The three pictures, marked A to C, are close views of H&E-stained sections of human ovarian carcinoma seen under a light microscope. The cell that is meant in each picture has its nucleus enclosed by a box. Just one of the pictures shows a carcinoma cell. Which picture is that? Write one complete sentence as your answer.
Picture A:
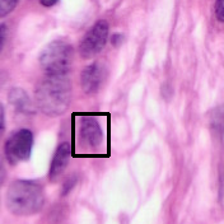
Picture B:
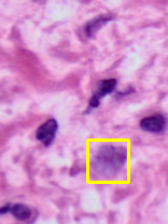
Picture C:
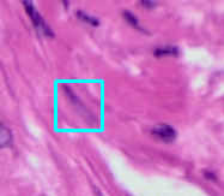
It is picture A that shows the carcinoma cell.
